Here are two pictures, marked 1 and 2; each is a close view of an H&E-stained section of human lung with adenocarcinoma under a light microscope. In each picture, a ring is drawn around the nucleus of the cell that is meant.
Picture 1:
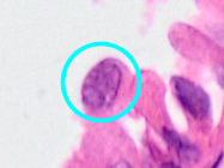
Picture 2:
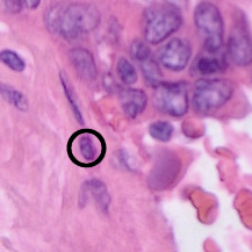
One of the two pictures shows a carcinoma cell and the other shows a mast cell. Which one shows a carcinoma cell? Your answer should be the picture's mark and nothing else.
1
